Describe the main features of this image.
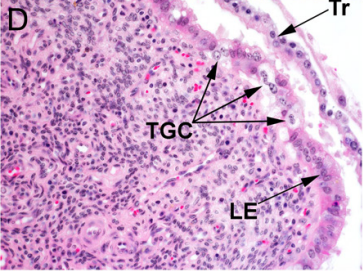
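Section through the uterine wall at an implantation site, showing endometrial stroma, the uterine luminal epithelium and overlying trophoblast, with trophoblast giant cells sitting within the luminal epithelial layer. The stroma on the left is dense, with many small, dark, elongated to oval nuclei in pink matrix and scattered bright red blood cells. Along the right edge a single layer of columnar luminal epithelial cells lines the surface. A thin, separate layer of flattened trophoblast cells runs along the outermost top right edge.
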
